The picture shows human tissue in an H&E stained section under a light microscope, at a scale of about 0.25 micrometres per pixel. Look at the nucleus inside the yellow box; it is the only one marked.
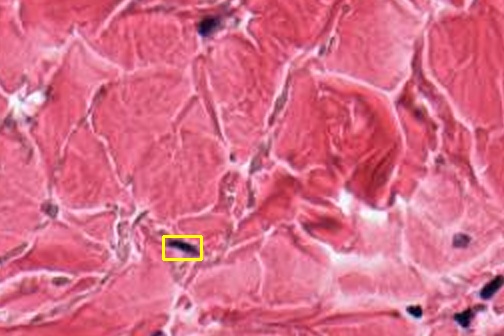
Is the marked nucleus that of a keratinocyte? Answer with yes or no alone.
no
